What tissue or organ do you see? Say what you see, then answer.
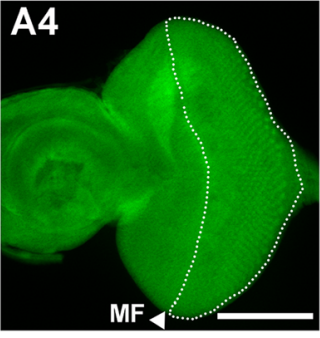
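A larger lobe joined to a smaller lobe showing concentric folds. Rows of regularly spaced bright clusters in the outlined posterior part of the larger lobe.
Hence: eye imaginal discs.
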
